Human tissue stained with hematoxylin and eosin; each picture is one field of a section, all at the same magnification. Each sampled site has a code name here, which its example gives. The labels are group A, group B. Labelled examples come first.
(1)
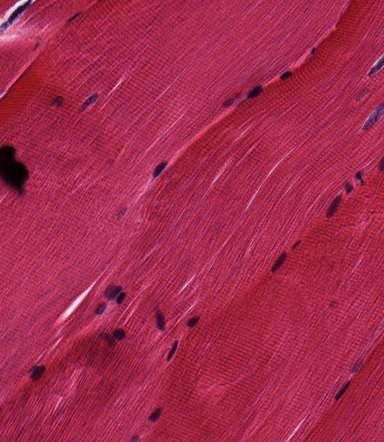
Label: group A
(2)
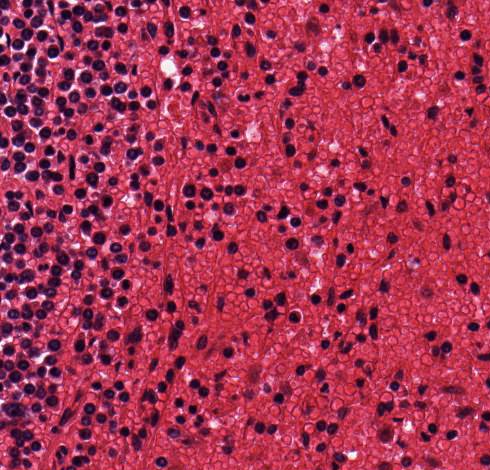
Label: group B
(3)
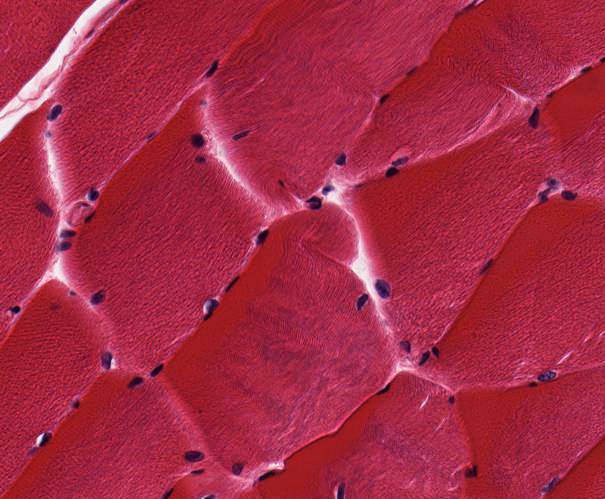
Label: group A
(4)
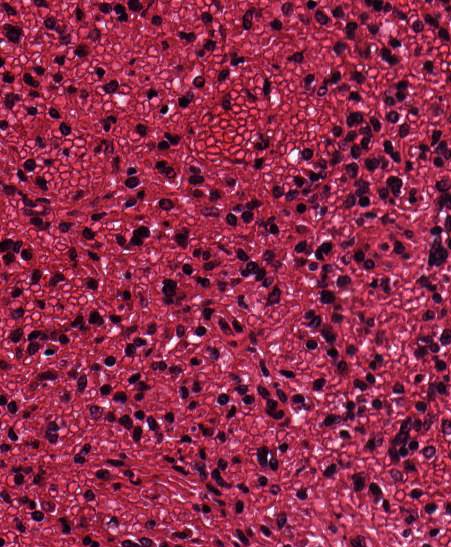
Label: group B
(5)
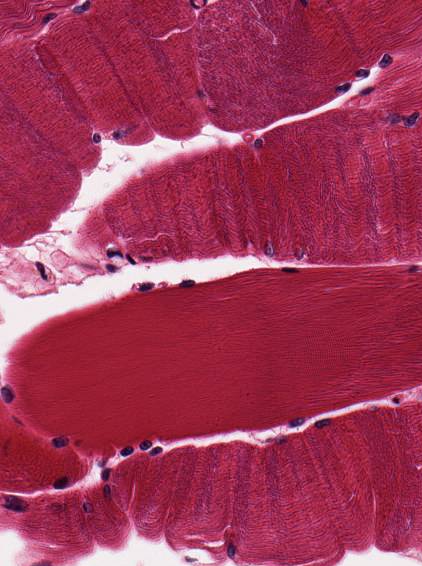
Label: group A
